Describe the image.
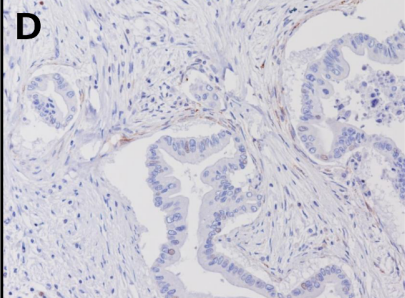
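Here we see glands sitting in a stroma of stromal cells. The glands are lined by a single layer of tall columnar epithelial cells with oval nuclei, most of them near the base, and pale cytoplasm facing an open lumen. Between the glands runs a loose stroma of spindle-shaped cells with elongated, wavy blue nuclei arranged in streams. Most of these spindle cells are only blue from the counterstain; just a few show a faint brown tint in their thin cytoplasm, so brown-stained stromal cells are a small minority of the field.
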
